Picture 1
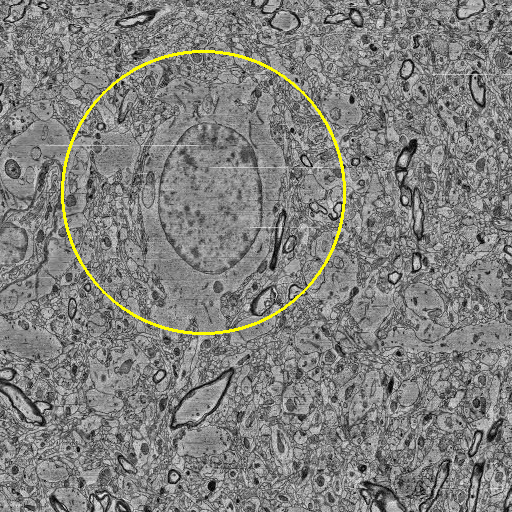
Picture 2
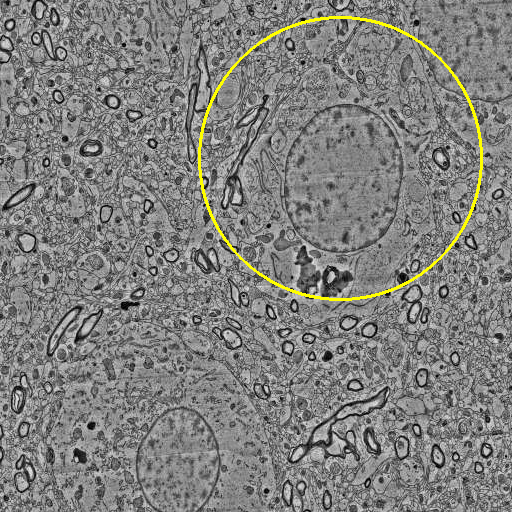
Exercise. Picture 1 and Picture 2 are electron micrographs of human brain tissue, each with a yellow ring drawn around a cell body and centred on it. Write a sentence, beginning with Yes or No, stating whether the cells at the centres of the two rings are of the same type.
Yes, the cells at the centres of both rings are of the same type.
